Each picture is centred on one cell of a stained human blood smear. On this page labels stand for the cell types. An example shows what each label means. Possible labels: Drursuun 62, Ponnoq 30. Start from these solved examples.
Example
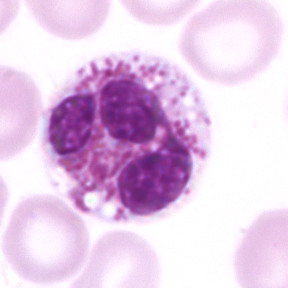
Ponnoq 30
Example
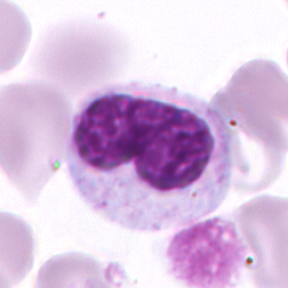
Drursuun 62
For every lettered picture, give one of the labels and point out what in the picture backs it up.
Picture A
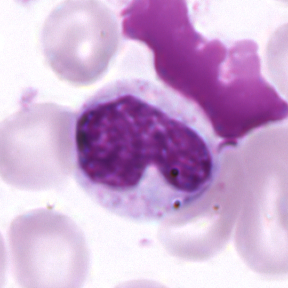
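Answer: Drursuun 62. Fine pinkish-lilac granules are scattered sparsely through the cytoplasm.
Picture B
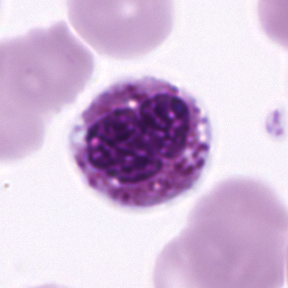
Answer: Ponnoq 30. Coarse dark purple granules are scattered through the cytoplasm.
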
